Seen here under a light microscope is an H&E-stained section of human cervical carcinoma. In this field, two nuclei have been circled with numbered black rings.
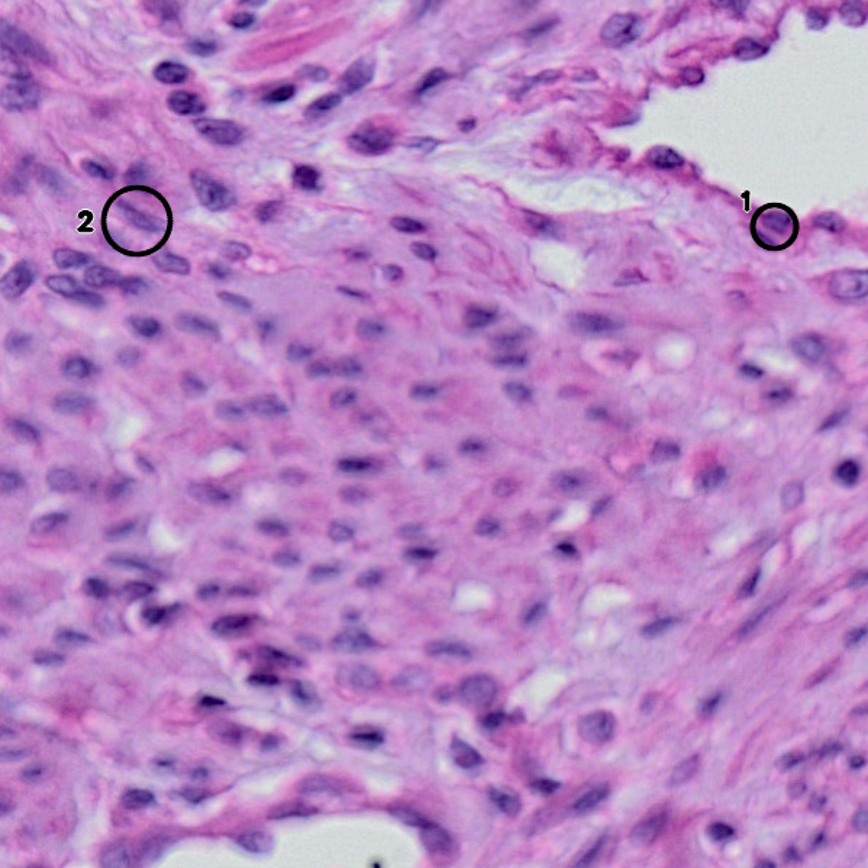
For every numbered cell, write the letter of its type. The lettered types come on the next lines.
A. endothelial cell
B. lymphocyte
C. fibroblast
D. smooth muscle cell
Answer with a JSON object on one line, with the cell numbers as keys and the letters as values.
{"1": "A", "2": "D"}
